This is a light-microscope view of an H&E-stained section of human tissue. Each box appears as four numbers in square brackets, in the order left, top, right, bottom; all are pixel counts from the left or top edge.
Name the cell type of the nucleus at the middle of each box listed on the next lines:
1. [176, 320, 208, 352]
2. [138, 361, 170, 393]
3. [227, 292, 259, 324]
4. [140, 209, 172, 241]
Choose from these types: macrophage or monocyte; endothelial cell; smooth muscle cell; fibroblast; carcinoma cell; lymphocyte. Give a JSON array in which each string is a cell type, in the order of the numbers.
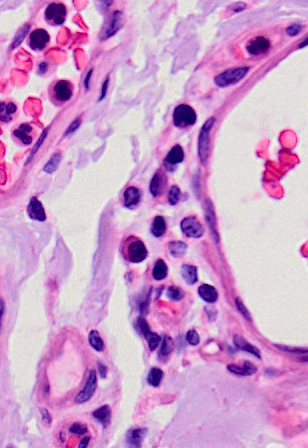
["lymphocyte", "lymphocyte", "endothelial cell", "lymphocyte"]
